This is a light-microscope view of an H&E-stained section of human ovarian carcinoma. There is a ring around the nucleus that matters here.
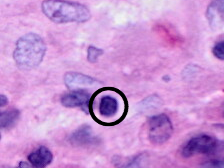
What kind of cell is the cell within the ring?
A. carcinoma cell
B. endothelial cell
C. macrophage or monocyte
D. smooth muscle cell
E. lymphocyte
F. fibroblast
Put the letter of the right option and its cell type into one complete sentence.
The proper choice here is E: the cell within the ring is a lymphocyte.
